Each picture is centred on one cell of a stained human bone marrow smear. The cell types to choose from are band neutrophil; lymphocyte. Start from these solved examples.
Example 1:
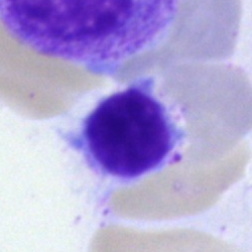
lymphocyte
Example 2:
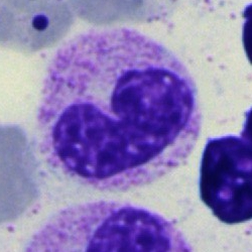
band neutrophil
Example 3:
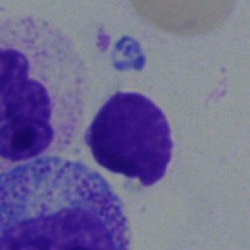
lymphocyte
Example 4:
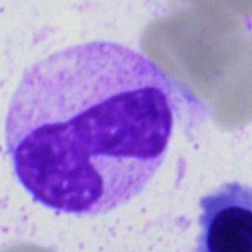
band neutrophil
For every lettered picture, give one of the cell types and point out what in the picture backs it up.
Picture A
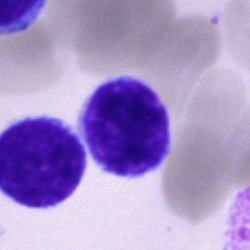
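Label: lymphocyte. Hardly any cytoplasm can be seen around the nucleus.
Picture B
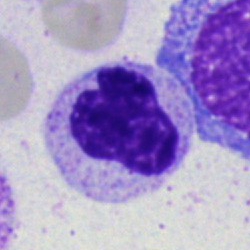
Label: band neutrophil. Fine pinkish-purple granules are scattered through the cytoplasm.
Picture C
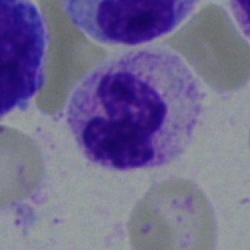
Label: band neutrophil. The cytoplasm is plentiful and pale lilac.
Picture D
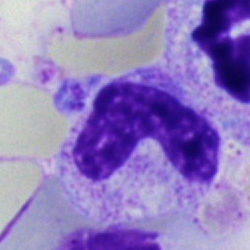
Label: band neutrophil. The cytoplasm is plentiful and pale lilac-pink.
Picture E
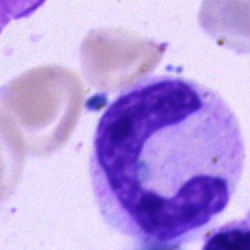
Label: band neutrophil. The cytoplasm is abundant and pale lilac.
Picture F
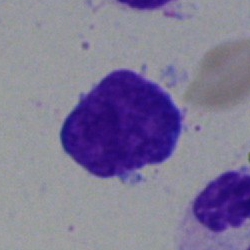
Label: lymphocyte. The nucleus fills almost the whole cell, leaving hardly any visible cytoplasm.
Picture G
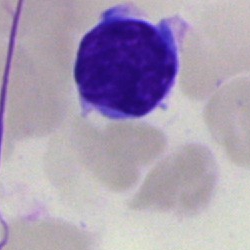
Label: lymphocyte. The cytoplasm is scant, forming only a thin rim around the nucleus.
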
